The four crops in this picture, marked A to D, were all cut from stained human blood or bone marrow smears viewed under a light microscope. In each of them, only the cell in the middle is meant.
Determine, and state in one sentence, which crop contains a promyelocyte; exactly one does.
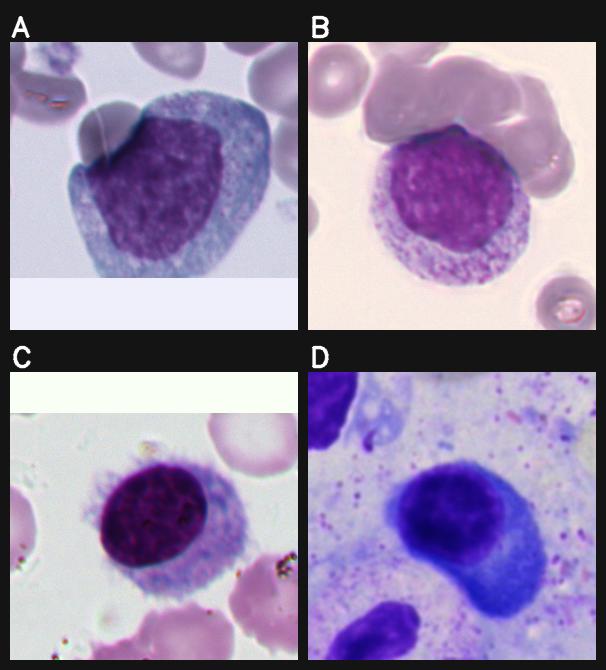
So the crop with a promyelocyte at its center is crop A.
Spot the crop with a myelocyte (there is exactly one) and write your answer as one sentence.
Here the crop that shows a myelocyte is crop B.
